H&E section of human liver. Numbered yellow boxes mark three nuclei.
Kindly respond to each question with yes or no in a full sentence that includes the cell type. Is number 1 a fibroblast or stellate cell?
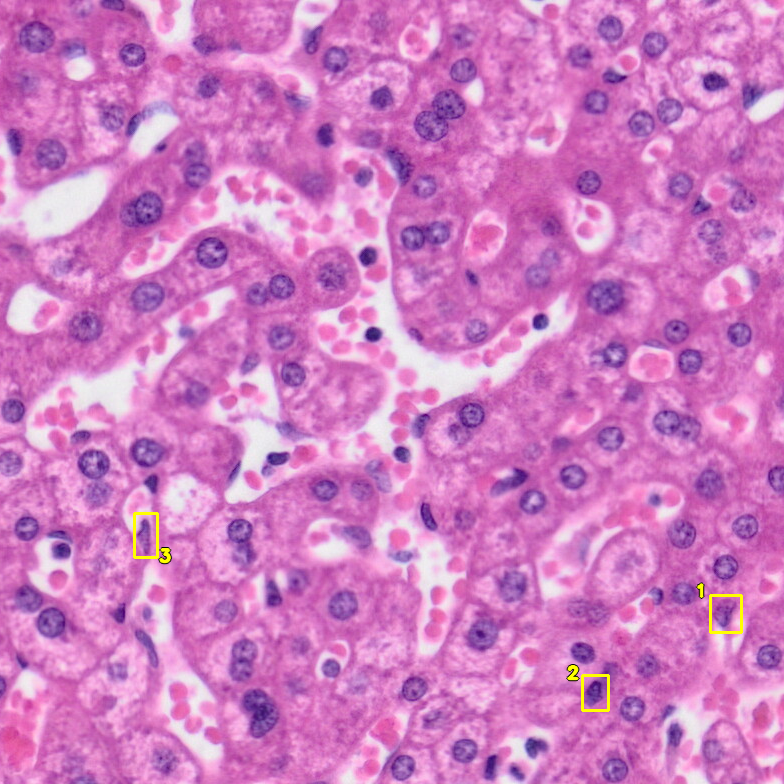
No, the cell under number 1 is a Kupffer cell instead of a fibroblast or stellate cell.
